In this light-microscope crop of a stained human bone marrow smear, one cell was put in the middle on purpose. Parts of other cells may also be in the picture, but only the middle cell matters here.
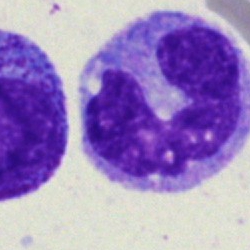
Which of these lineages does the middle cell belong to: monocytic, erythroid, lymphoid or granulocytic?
monocytic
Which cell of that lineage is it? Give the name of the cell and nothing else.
monocyte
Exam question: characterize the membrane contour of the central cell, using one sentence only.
Thanks for asking; the cell edge is smooth and has no projections.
